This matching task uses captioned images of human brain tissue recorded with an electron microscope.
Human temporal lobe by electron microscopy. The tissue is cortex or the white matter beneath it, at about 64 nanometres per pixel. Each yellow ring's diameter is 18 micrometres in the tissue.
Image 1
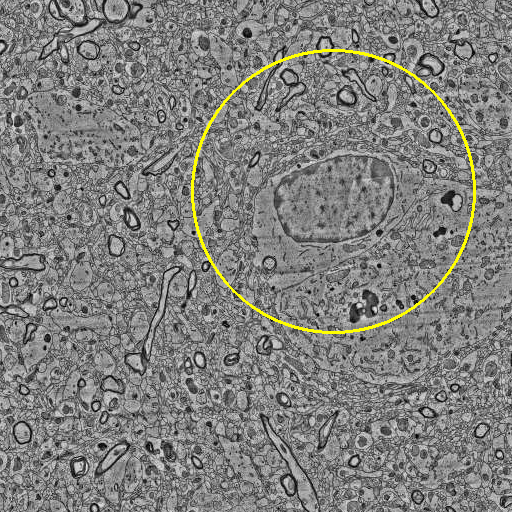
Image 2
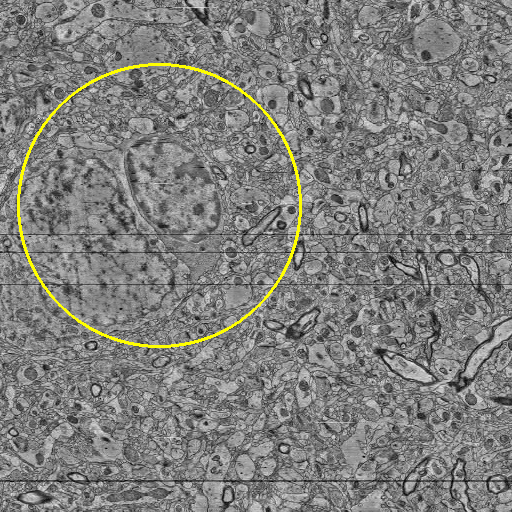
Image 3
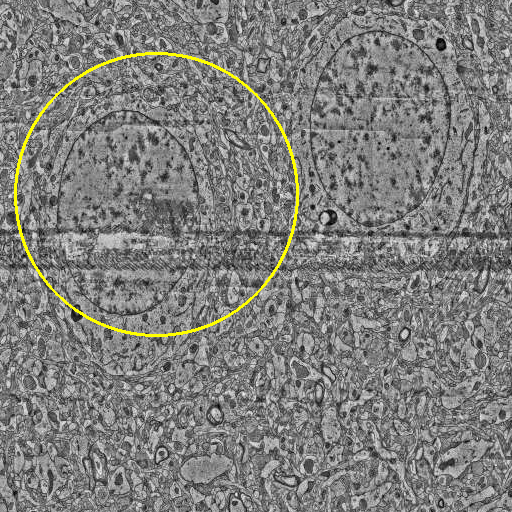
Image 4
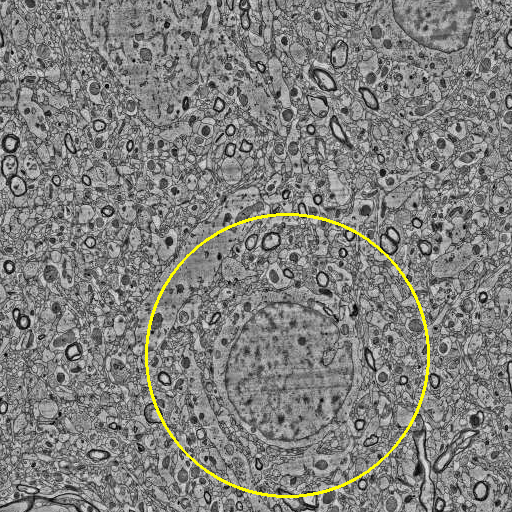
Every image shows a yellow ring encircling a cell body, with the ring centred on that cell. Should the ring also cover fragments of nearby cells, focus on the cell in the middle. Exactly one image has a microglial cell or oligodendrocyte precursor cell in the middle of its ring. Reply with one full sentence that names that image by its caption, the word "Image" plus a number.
Image 1 shows the cell in question at the centre of its yellow ring.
